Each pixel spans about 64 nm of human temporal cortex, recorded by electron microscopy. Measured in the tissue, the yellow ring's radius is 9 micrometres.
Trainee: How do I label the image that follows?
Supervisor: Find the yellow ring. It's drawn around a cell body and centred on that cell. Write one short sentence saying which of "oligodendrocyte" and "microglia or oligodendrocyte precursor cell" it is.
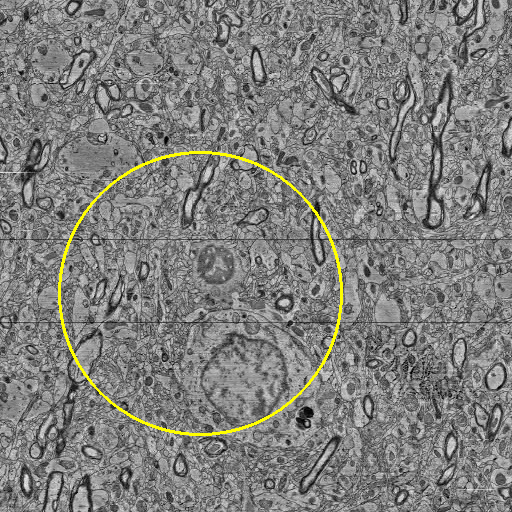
This is the cell body of an oligodendrocyte.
